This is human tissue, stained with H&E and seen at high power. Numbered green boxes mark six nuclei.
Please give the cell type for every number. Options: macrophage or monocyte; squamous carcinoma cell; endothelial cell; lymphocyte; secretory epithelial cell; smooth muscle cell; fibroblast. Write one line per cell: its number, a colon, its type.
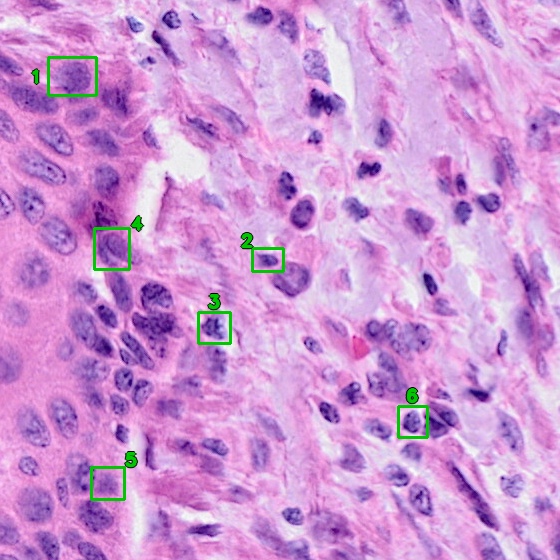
1: squamous carcinoma cell
2: lymphocyte
3: lymphocyte
4: squamous carcinoma cell
5: squamous carcinoma cell
6: lymphocyte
